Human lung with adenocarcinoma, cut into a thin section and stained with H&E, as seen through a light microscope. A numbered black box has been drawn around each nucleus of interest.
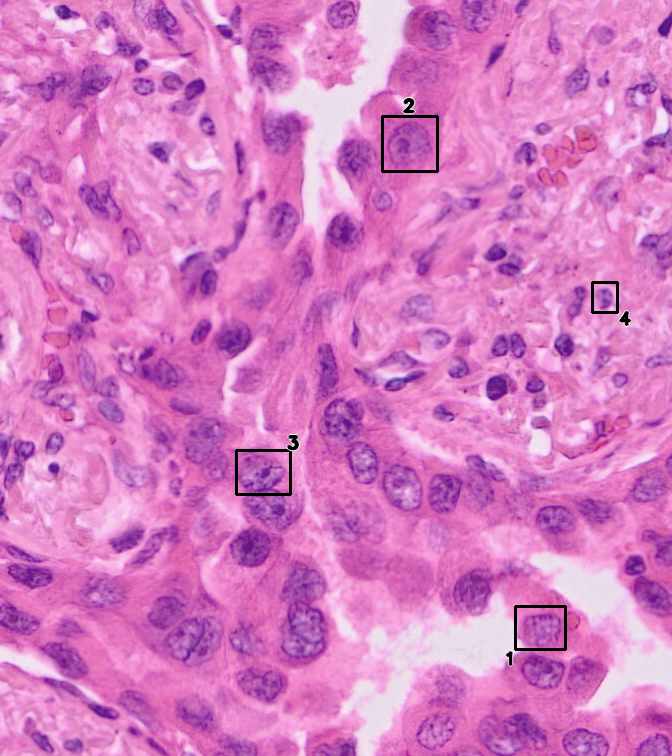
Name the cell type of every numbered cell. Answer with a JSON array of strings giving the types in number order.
["carcinoma cell", "carcinoma cell", "carcinoma cell", "lymphocyte"]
